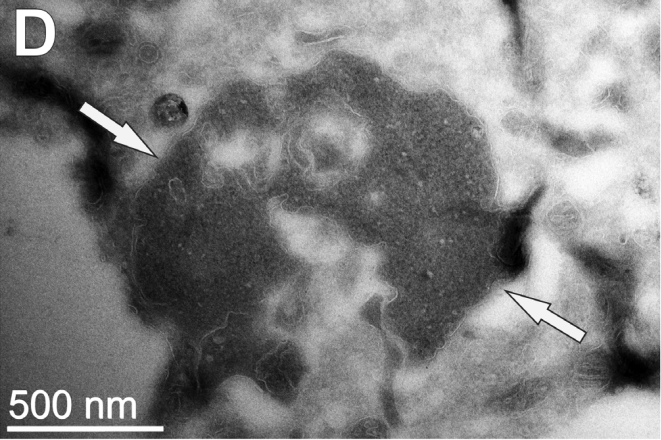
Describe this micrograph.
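A large, dark, lobed mass fills much of the field, surrounded by paler, loosely textured cytoplasm. Its interior is finely granular and holds pale curving lines and ring-shaped membrane profiles, with a few lighter gaps. Small round membrane-bound profiles are also scattered outside it.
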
